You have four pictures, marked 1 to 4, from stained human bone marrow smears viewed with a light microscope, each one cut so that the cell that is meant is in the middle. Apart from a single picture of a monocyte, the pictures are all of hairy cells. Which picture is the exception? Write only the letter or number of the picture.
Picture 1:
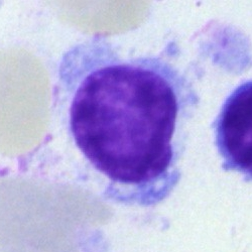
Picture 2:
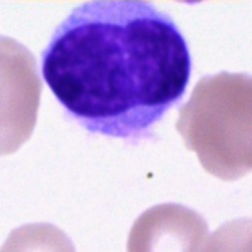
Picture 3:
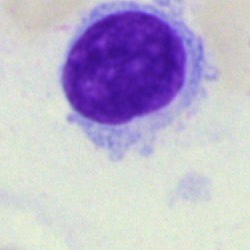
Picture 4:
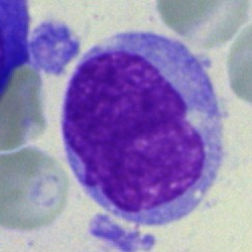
4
